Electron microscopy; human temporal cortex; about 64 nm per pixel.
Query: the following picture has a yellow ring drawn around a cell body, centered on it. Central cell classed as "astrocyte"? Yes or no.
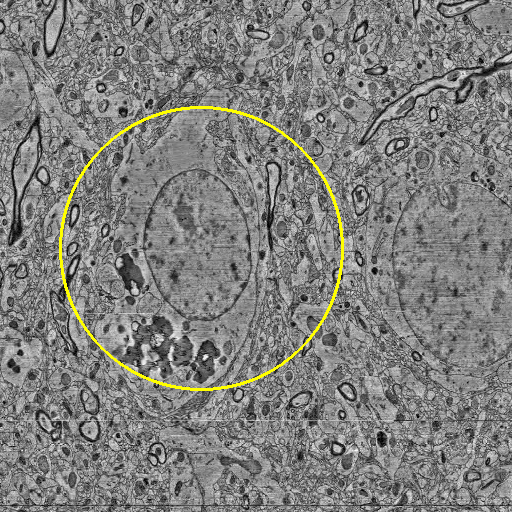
yes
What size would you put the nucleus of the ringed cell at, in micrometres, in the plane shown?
The nucleus is approximately 10 micrometers long by 7 micrometers wide in this plane.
